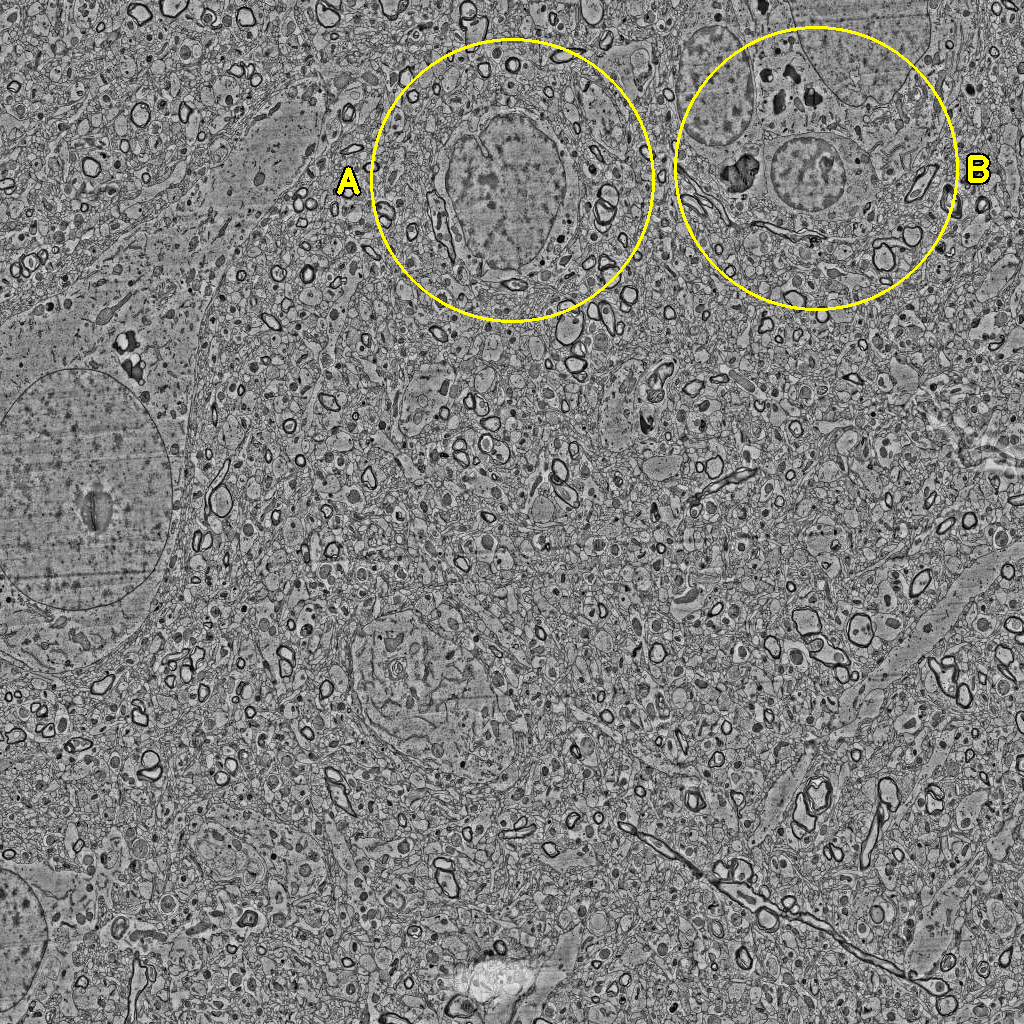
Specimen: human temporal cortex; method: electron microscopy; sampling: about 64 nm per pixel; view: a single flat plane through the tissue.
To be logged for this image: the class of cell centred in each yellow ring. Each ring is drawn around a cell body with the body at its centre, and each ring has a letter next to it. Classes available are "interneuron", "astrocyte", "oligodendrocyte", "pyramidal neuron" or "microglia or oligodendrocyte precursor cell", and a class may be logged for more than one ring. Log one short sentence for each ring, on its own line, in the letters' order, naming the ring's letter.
The class recorded for ring A is an interneuron.
The class recorded for ring B is an oligodendrocyte.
